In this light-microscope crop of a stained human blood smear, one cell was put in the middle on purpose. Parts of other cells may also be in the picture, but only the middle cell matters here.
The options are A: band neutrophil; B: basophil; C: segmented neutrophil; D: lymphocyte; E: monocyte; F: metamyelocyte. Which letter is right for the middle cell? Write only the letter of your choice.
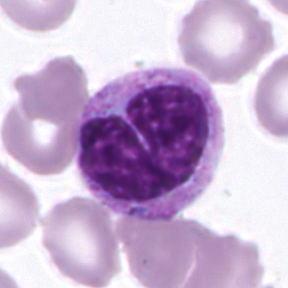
A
